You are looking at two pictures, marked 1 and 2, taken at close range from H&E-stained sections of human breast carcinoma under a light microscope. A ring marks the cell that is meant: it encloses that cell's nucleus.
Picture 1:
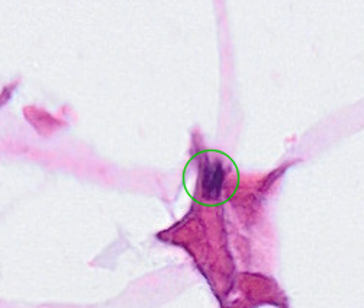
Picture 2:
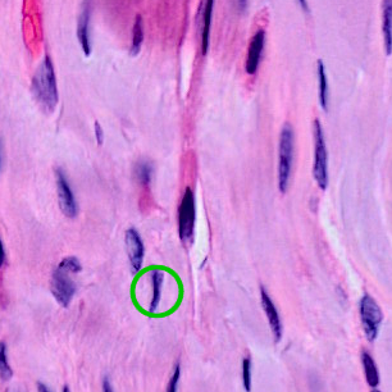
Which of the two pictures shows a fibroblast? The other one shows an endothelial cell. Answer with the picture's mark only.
2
